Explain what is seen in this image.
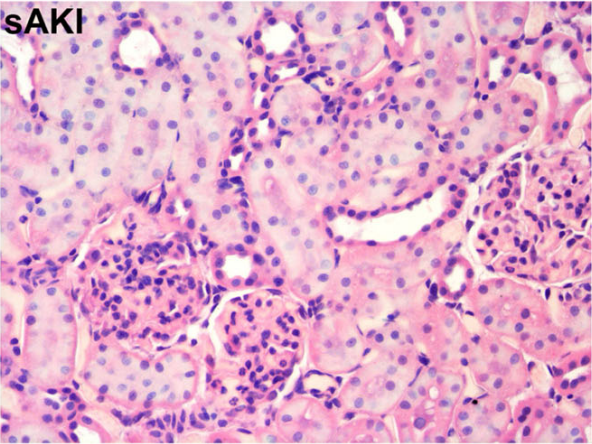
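This is renal cortex with tubules and glomeruli, stained pink and purple. The tubules are lined by bulky epithelial cells with pale pink cytoplasm and round purple nuclei, and most tubular lumens are narrowed or closed, so the tubules crowd tightly together. Glomeruli appear as rounded tufts packed with purple nuclei, and their outline looks preserved. Between the tubules, small, dark nuclei sit closely in the narrow interstitium. Together this suggests swelling of the tubular epithelium with infiltration by inflammatory cells, while the glomeruli look largely intact.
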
